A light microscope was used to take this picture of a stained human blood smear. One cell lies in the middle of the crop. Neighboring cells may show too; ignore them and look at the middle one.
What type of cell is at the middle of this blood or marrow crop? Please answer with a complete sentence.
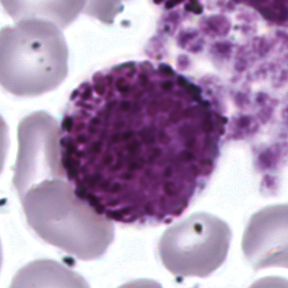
The middle position in this crop is taken by a basophil.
